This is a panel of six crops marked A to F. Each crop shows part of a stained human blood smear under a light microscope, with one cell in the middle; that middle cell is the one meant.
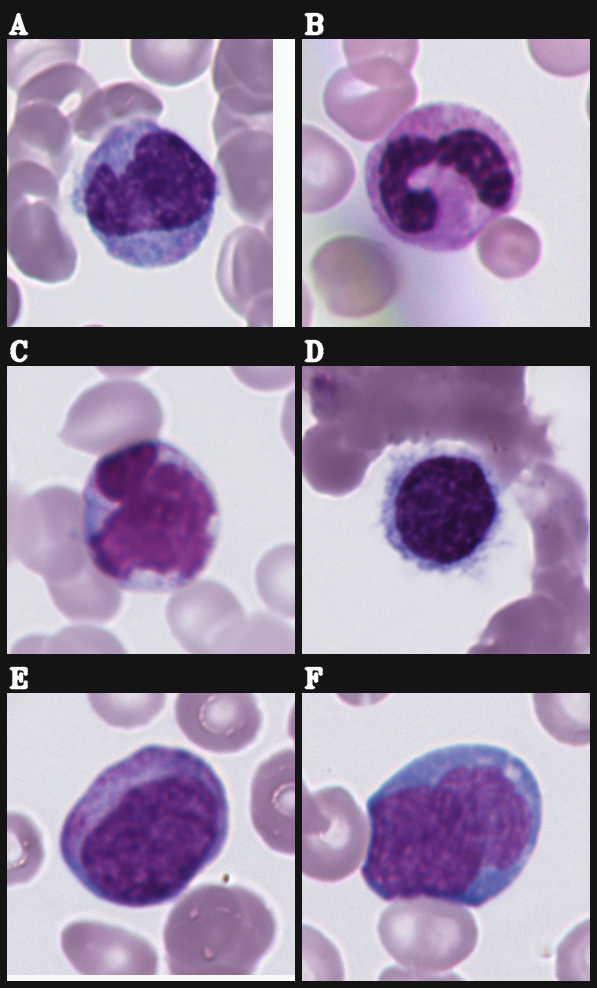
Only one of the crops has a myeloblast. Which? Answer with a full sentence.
The crop bearing a myeloblast is crop F.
